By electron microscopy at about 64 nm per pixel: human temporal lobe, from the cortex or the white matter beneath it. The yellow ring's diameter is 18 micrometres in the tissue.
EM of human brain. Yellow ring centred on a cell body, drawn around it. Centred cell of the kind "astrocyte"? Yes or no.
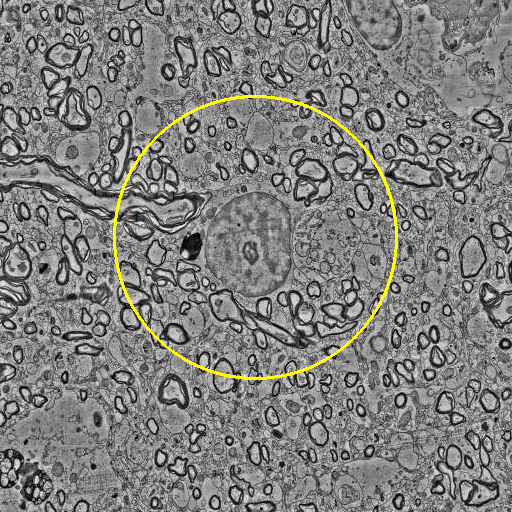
no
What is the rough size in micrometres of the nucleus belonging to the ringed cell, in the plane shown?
The nucleus of the ringed cell is approximately 7 by 6 micrometres in this plane.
